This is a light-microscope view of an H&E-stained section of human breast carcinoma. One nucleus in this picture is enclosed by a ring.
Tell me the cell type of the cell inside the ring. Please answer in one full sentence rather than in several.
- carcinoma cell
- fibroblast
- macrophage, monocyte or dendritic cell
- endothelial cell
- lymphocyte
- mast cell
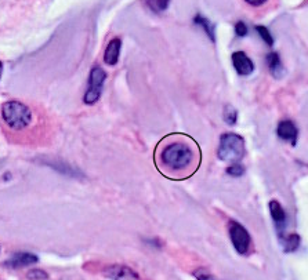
In the tissue under study, the cell inside the ring is a mast cell.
